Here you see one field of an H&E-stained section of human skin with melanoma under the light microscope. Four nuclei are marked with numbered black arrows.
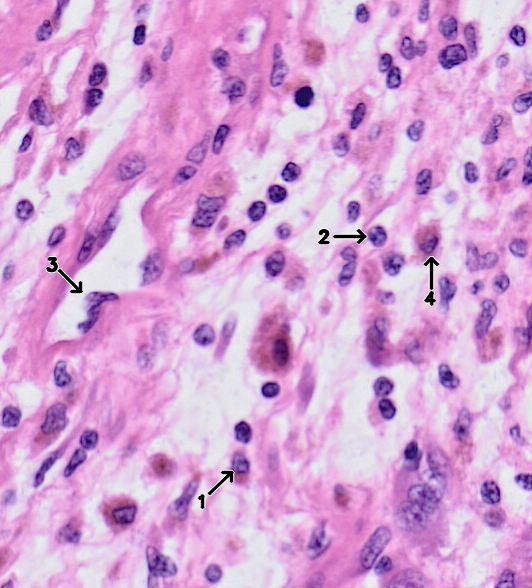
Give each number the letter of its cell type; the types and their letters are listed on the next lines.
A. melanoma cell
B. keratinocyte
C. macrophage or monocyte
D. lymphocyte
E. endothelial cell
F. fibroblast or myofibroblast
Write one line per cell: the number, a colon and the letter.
1: C
2: D
3: E
4: C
